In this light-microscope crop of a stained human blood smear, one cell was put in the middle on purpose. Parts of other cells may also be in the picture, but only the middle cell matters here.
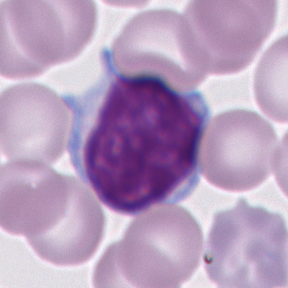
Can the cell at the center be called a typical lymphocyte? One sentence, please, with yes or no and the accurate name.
Yes, that is a typical lymphocyte in the middle of the crop.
